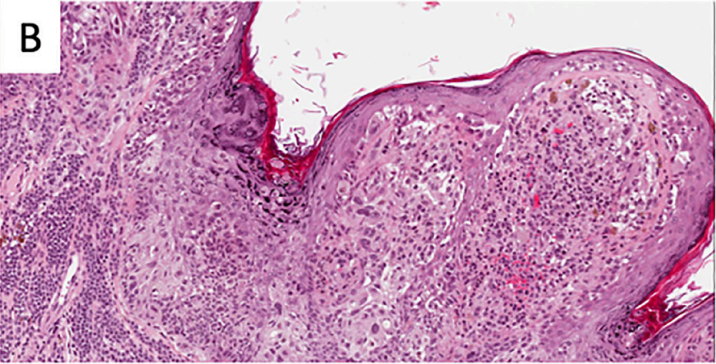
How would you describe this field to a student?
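Skin with melanocytic nests at the junction of a thin epidermis and dermis. Rounded clusters of large pale cells with enlarged, irregular nuclei and ample pale pink cytoplasm sit at the base of and within the epidermis, which is stretched thin over them and capped by a compact bright red keratin layer. Some cells are elongated, spindle-like. Scattered single cells lie higher in the epidermis. On the left the dermis holds a dense band of small dark round cells beside the lesion.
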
